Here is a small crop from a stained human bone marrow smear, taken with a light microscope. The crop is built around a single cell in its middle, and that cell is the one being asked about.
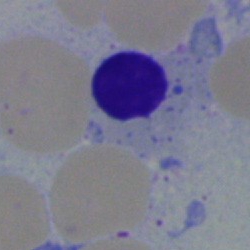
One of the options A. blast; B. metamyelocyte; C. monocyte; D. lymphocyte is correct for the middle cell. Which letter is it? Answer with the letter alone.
D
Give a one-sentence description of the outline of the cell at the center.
Nothing juts out from the margin, which is smooth throughout.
